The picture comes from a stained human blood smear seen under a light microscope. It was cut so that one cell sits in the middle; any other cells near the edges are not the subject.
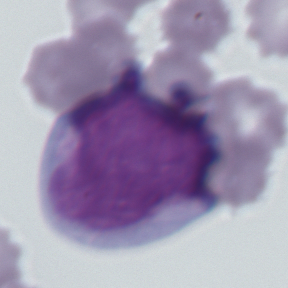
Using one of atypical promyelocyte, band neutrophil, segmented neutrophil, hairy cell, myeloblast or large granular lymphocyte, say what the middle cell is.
myeloblast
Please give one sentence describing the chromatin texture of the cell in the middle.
What stands out is fine chromatin lacking any coarse clumps.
